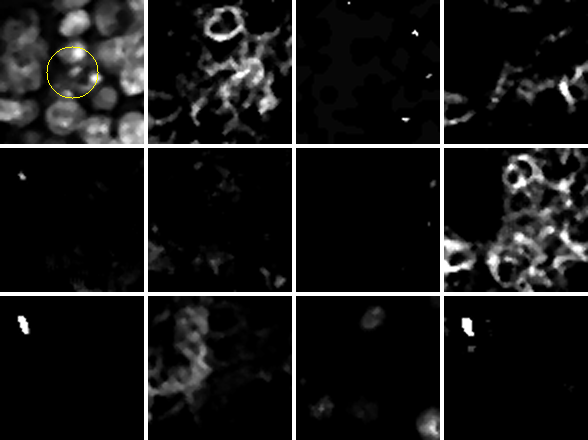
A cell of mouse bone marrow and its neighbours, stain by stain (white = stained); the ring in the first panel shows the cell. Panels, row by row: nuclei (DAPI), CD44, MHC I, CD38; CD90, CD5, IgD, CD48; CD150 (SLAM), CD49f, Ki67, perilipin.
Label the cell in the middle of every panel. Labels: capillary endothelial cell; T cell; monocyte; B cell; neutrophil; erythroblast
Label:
neutrophil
